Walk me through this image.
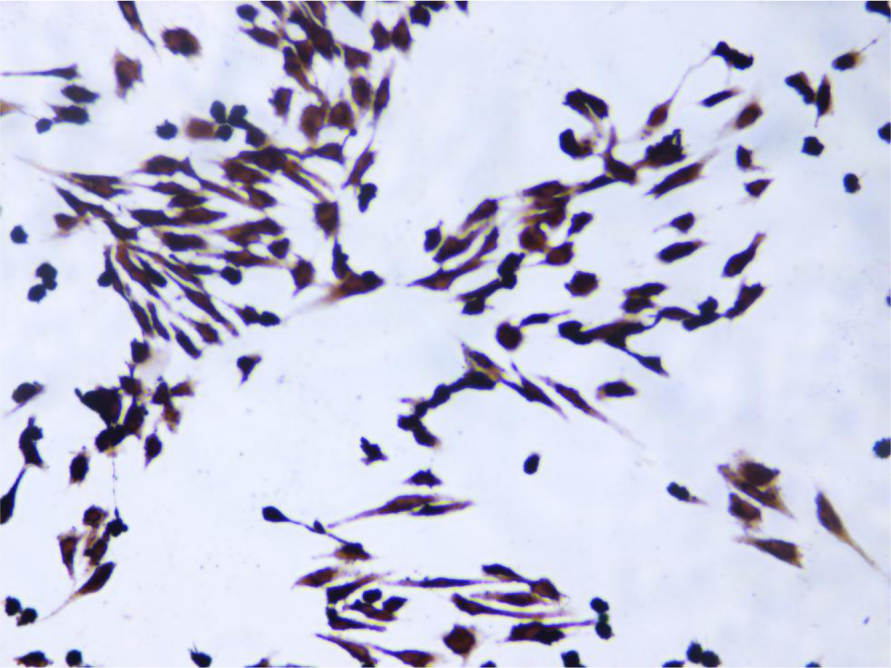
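Cultured cells stained brown lie scattered and in loose clusters on a pale, unstained background. Many cells are spindle-shaped or elongated with tapering extensions, while others are small and rounded and stained very dark. The brown colour fills the cell bodies and extends into their extensions rather than staining the background. In places the elongated cells lie roughly parallel in small groups. Nearly every cell in the field carries the brown cytoplasmic stain.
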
